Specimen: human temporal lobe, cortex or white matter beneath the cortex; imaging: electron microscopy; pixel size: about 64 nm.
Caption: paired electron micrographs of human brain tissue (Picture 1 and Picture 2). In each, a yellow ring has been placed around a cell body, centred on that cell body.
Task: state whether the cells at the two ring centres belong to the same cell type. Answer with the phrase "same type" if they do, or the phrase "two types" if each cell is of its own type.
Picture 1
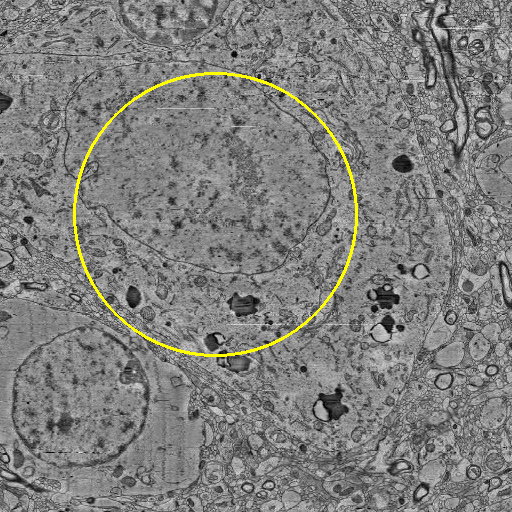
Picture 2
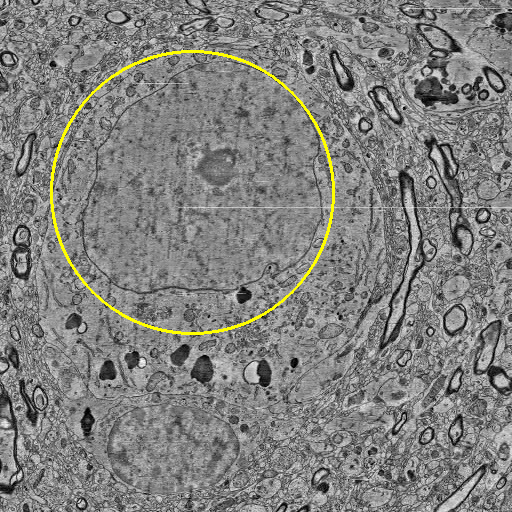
same type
